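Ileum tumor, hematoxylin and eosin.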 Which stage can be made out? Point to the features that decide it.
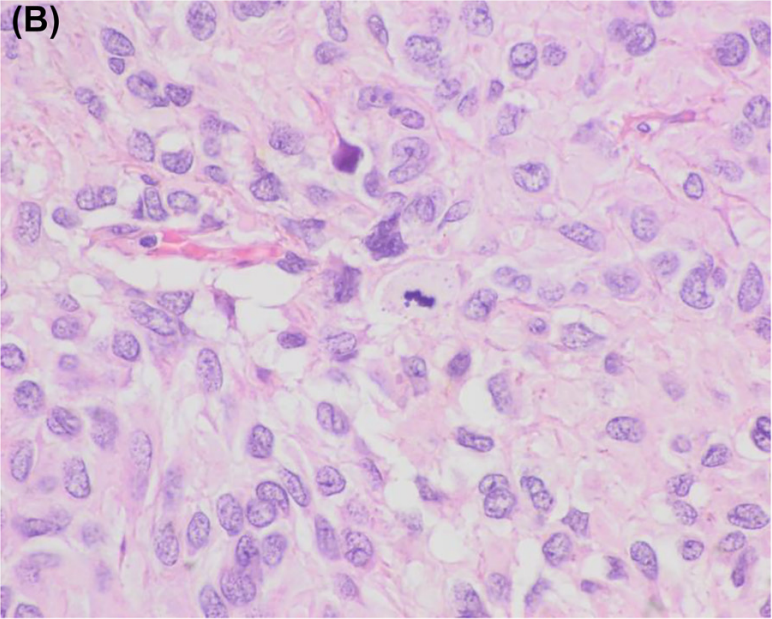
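Near the centre, a cell shows a small, dark, clumped chromatin mass instead of a nucleus with a membrane. The clumped chromatin is much darker than the surrounding oval nuclei.
Hence: mitotic figure.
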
